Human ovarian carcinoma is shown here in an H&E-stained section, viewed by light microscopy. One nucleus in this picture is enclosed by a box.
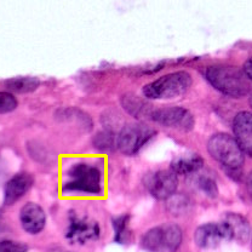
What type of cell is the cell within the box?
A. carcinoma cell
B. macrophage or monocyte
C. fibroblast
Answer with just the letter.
A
